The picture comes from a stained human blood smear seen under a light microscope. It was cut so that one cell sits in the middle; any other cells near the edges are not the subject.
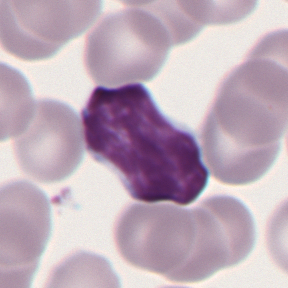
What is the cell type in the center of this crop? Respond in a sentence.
The cell of interest, in the center, is a typical lymphocyte.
